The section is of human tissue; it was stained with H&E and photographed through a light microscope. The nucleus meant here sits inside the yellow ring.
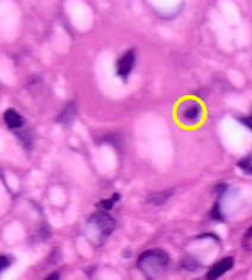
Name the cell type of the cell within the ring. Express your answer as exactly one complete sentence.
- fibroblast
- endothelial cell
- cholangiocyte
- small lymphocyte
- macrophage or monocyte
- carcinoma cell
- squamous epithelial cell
On this particular slide, the cell within the ring is a squamous epithelial cell.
